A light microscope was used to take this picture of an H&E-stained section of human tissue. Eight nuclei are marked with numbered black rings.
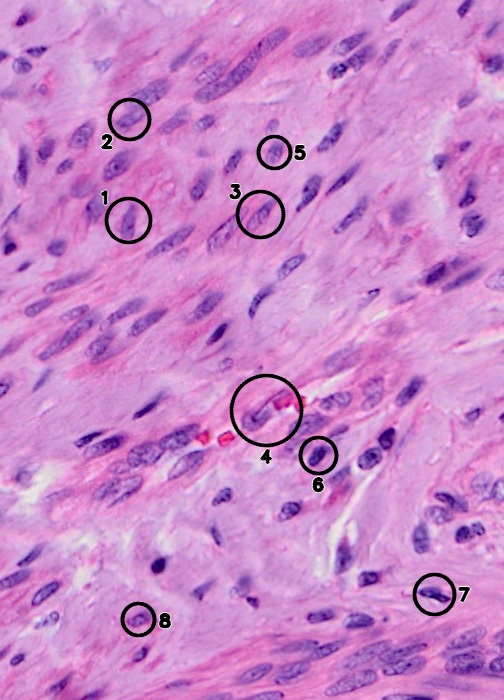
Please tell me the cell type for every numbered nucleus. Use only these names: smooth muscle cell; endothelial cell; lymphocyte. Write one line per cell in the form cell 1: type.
cell 1: smooth muscle cell
cell 2: smooth muscle cell
cell 3: smooth muscle cell
cell 4: endothelial cell
cell 5: smooth muscle cell
cell 6: lymphocyte
cell 7: lymphocyte
cell 8: smooth muscle cell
